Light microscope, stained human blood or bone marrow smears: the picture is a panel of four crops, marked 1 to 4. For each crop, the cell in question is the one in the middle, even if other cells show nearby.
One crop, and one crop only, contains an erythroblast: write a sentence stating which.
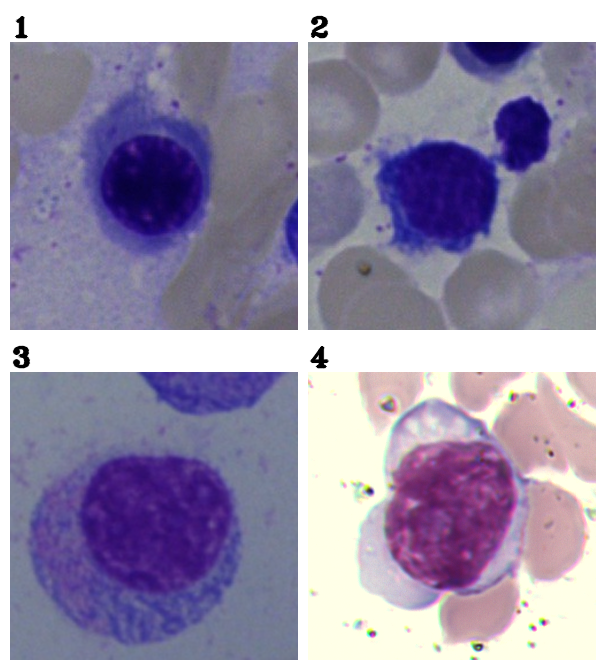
It is crop 1 that shows an erythroblast.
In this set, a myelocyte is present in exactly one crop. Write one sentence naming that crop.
Crop 3 is the correct crop, and it shows a myelocyte.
